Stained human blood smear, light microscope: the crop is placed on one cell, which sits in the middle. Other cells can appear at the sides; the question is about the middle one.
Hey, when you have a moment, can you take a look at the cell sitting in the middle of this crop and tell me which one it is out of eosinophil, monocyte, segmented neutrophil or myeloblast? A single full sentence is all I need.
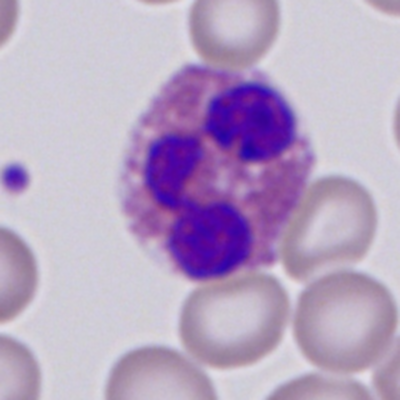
Located at the centre of the crop is an eosinophil.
